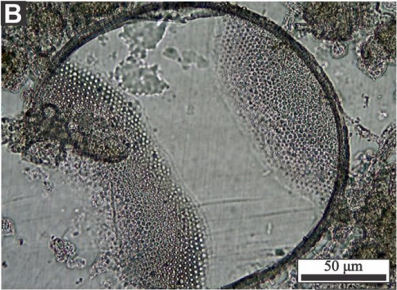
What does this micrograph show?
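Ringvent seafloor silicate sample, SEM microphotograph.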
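A single circular diatom frustule is seen in face view, bounded by a thick, sharply defined rim. Fine pores arranged in regular rows are preserved only in two crescent-shaped regions of the valve, on the left and on the right. Between them the valve surface is smooth and featureless, consistent with partial dissolution of the patterned wall. Small irregular mineral fragments lie against and over the edges of the frustule.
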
